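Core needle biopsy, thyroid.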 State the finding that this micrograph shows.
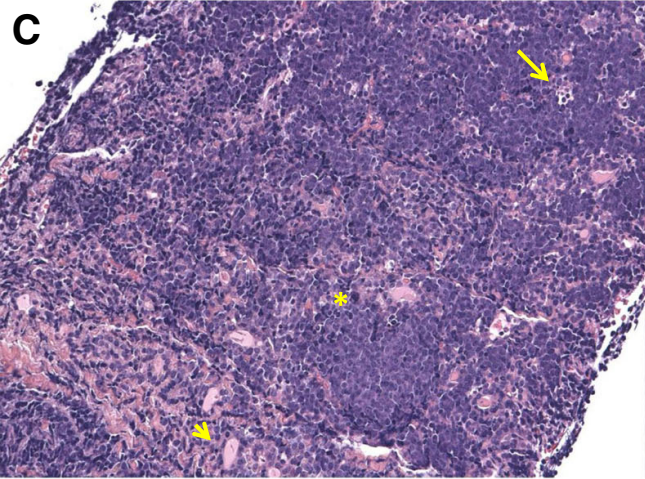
“starry sky” appearance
